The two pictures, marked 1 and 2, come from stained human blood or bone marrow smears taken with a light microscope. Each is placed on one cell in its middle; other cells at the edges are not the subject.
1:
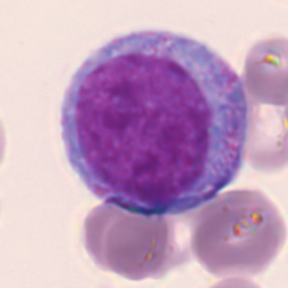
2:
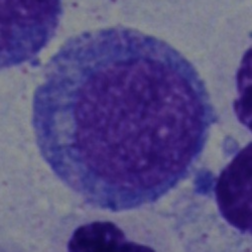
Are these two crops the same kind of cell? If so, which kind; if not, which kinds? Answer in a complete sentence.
Yes, the middle cells in both crops are indeed promyelocytes.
